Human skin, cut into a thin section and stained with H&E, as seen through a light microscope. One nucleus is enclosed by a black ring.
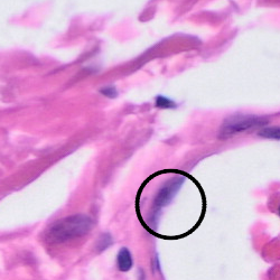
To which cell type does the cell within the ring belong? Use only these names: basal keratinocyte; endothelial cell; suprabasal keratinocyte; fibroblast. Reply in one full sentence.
In this section, the cell within the ring is an endothelial cell.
